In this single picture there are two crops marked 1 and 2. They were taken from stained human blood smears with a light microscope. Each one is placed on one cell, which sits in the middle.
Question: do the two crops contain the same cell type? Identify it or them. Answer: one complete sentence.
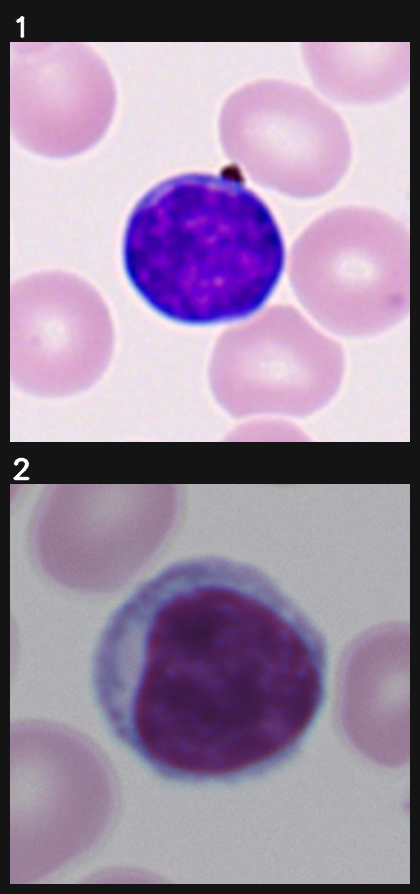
Yes, lymphocytes are what the two crops show.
